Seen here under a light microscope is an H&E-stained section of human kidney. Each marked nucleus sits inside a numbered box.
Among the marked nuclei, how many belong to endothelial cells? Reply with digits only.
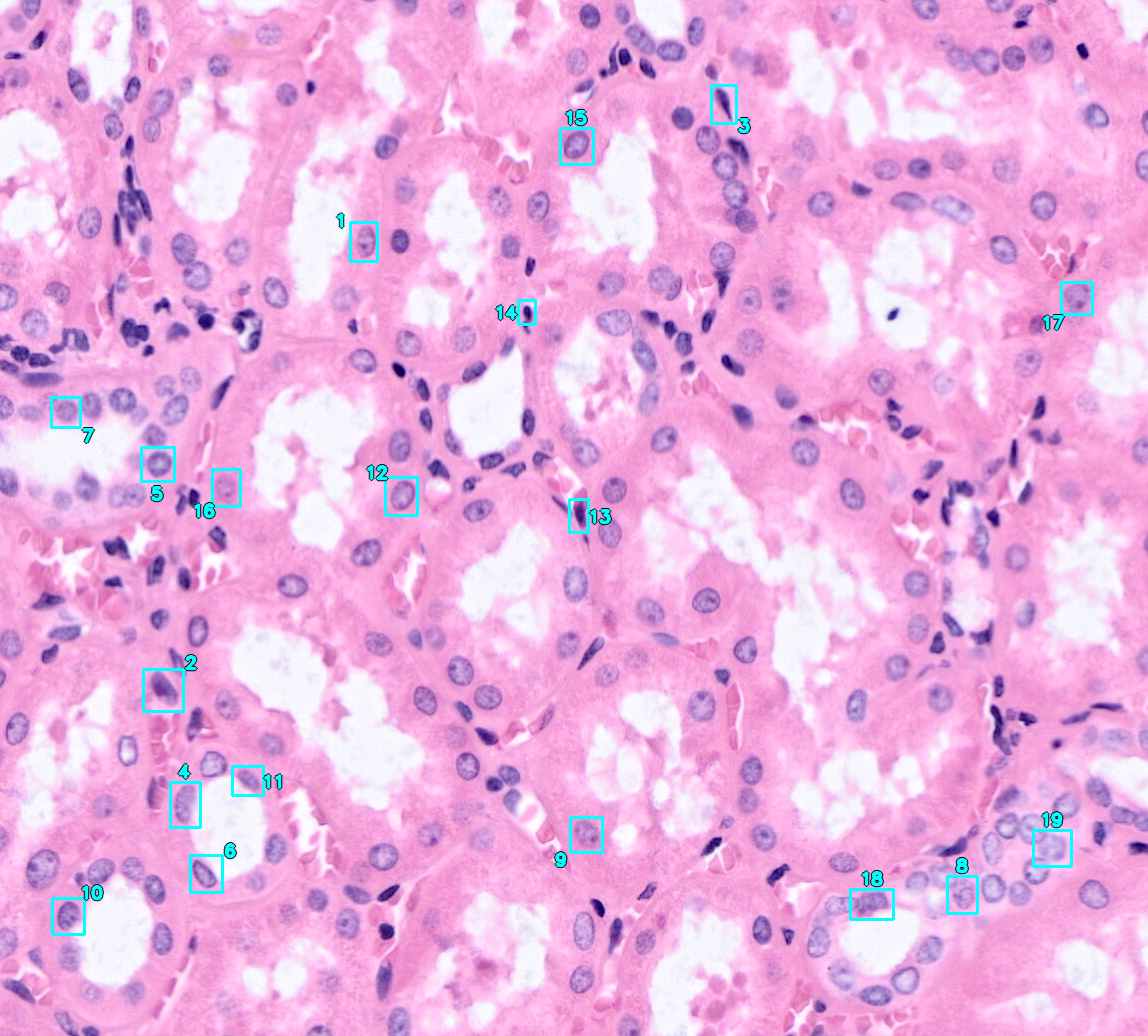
4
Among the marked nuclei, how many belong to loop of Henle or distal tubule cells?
4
